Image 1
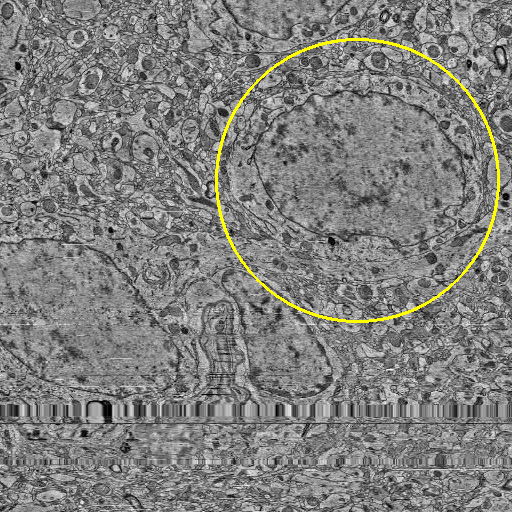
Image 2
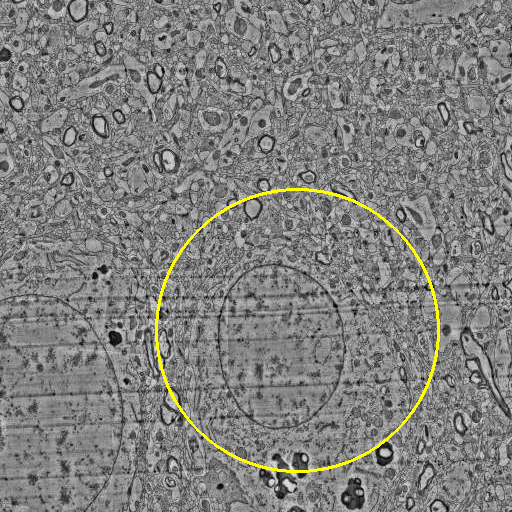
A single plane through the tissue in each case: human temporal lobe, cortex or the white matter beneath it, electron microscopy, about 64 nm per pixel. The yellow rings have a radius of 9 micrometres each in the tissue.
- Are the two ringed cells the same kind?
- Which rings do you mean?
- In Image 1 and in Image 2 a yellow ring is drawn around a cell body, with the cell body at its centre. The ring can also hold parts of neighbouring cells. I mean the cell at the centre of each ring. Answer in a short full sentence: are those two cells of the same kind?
Yes, both cells are of the same kind.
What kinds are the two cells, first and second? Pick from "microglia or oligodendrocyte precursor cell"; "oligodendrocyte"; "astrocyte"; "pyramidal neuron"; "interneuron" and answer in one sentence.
The ring centre holds a pyramidal neuron in each of the two pictures.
